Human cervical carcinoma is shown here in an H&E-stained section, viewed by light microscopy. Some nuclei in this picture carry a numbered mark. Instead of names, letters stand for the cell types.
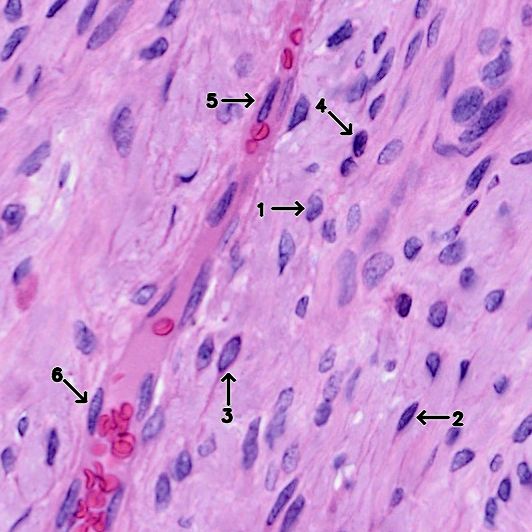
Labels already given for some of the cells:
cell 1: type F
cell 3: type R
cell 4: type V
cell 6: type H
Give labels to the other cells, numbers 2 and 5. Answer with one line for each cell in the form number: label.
2: type F
5: type H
